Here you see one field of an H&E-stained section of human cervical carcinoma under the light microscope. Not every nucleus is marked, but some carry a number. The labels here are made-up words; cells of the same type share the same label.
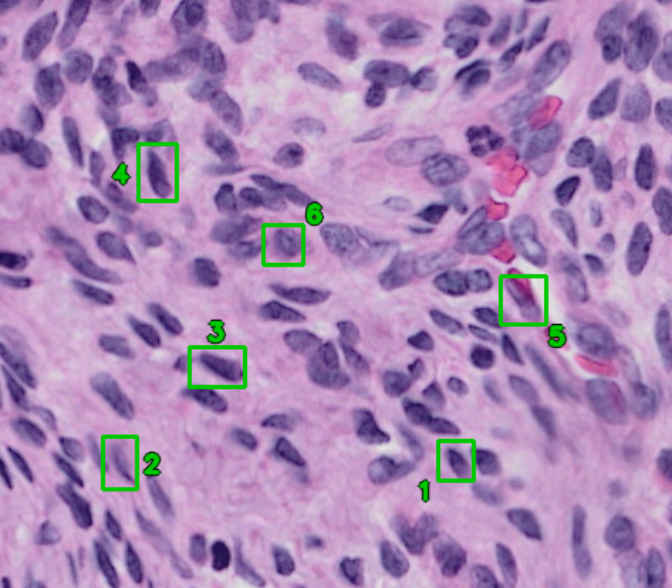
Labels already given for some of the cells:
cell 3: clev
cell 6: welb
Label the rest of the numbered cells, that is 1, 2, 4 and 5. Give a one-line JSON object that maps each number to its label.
{"1": "clev", "2": "clev", "4": "clev", "5": "welb"}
